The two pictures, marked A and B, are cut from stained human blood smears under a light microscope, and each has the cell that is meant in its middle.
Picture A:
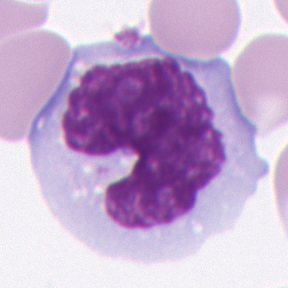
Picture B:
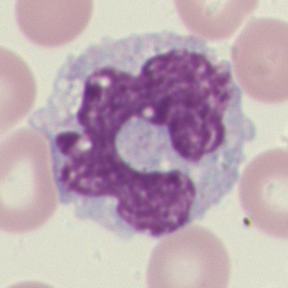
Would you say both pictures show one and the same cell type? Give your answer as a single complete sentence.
Yes, both are monocytes.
